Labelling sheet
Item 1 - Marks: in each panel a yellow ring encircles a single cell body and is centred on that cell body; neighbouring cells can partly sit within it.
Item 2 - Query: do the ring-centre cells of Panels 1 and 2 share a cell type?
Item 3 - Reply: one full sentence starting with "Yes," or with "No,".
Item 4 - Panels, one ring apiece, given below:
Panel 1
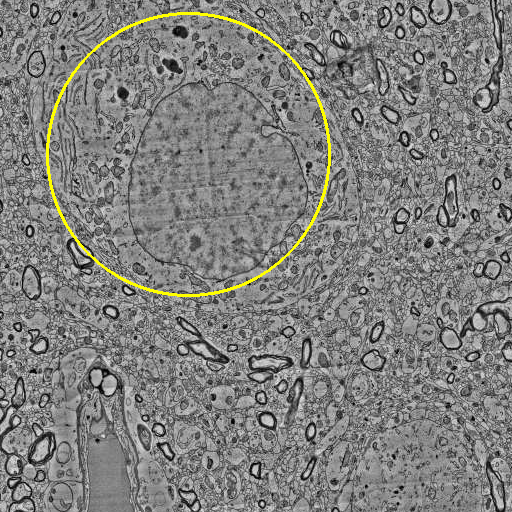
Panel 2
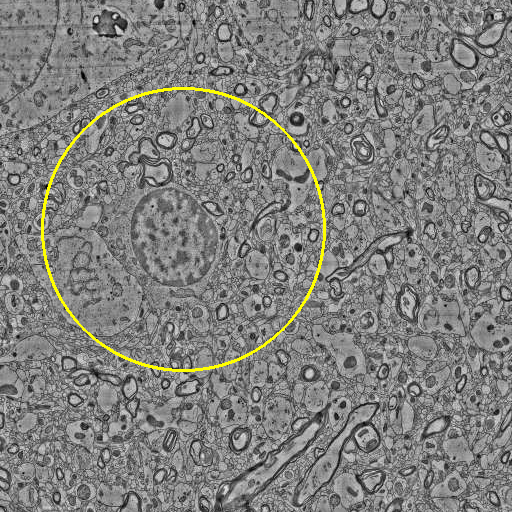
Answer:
No, Panel 1 and Panel 2 show two cell types at the centres of their rings.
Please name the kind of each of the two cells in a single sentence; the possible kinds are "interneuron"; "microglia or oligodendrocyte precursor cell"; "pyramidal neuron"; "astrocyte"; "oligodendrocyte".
In the first picture the ring is centred on an interneuron, and in the second on an oligodendrocyte.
